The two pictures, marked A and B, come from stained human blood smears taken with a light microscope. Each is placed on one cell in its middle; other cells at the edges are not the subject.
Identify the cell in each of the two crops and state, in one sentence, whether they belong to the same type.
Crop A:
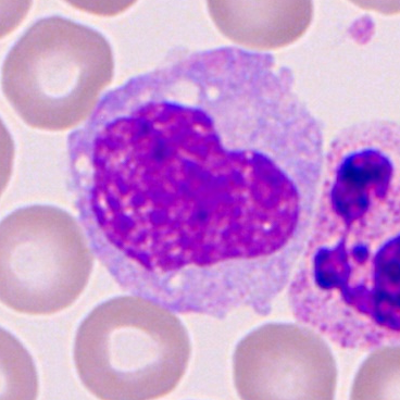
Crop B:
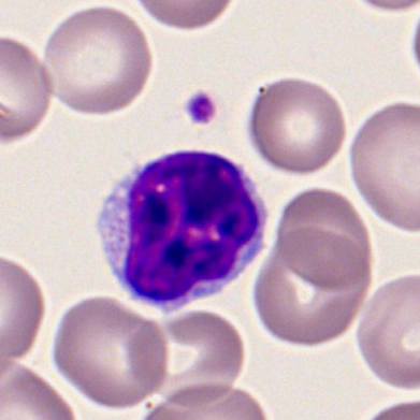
No, crop A shows a monocyte and crop B a lymphocyte.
